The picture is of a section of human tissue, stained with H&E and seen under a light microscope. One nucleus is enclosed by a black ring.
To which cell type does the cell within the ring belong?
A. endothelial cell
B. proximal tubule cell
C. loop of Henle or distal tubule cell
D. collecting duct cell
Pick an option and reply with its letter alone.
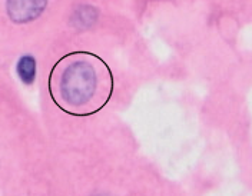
B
